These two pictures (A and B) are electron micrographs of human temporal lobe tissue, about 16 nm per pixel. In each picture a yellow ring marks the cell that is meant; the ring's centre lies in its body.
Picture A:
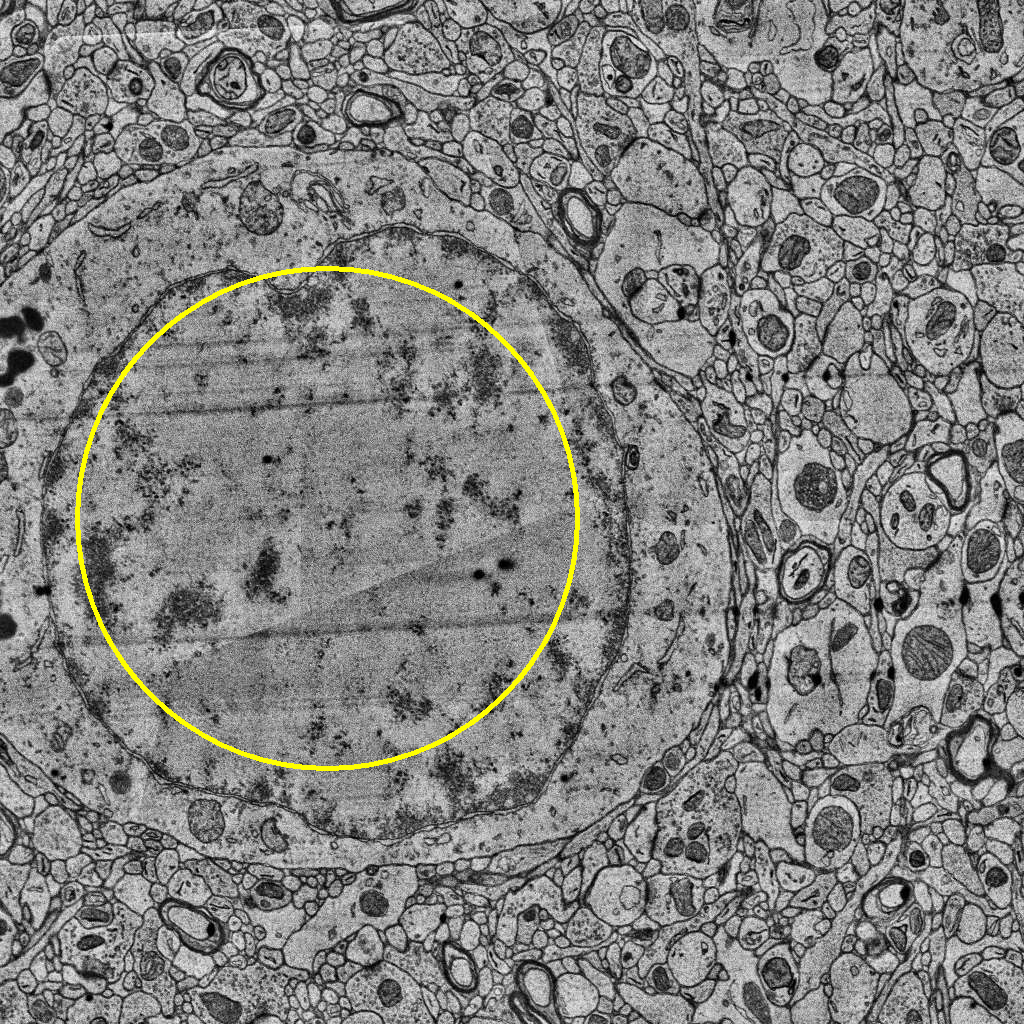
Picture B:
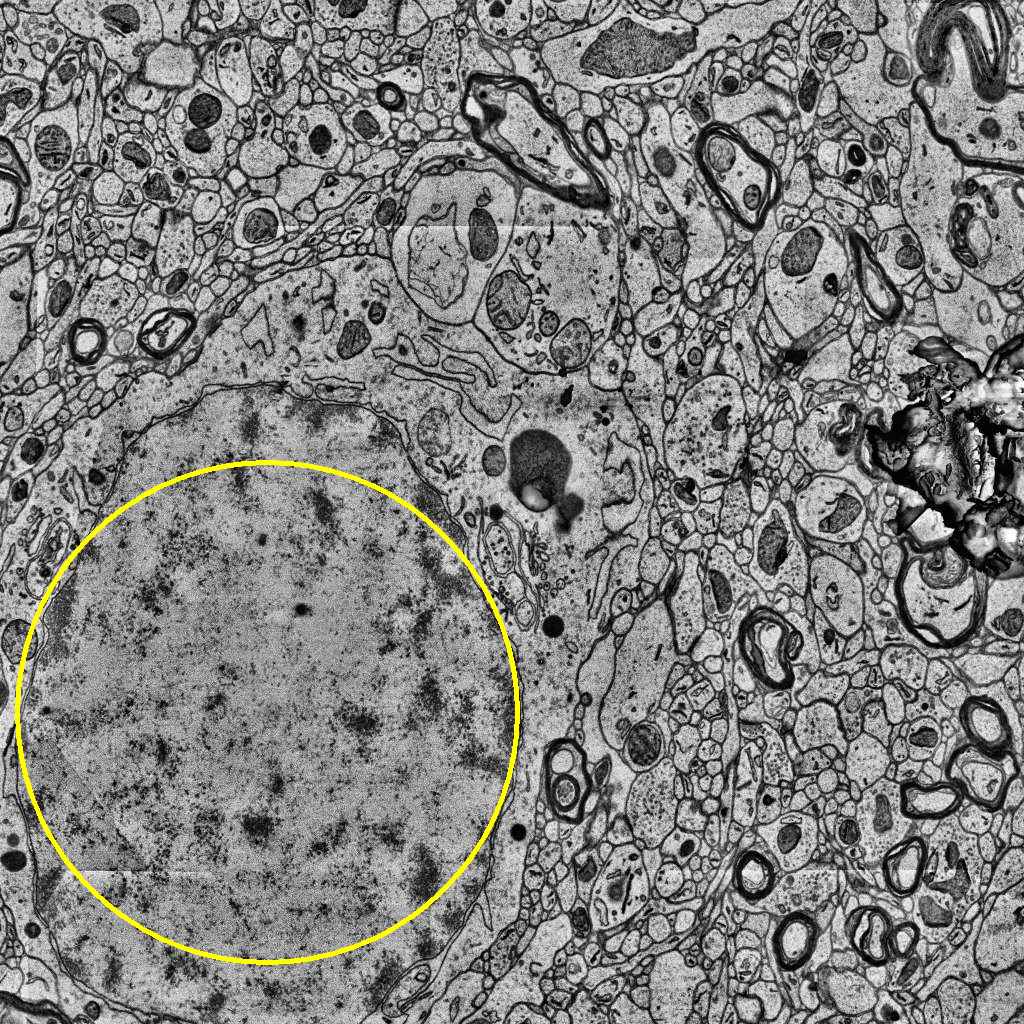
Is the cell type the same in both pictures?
Yes, the two pictures both show interneurons.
